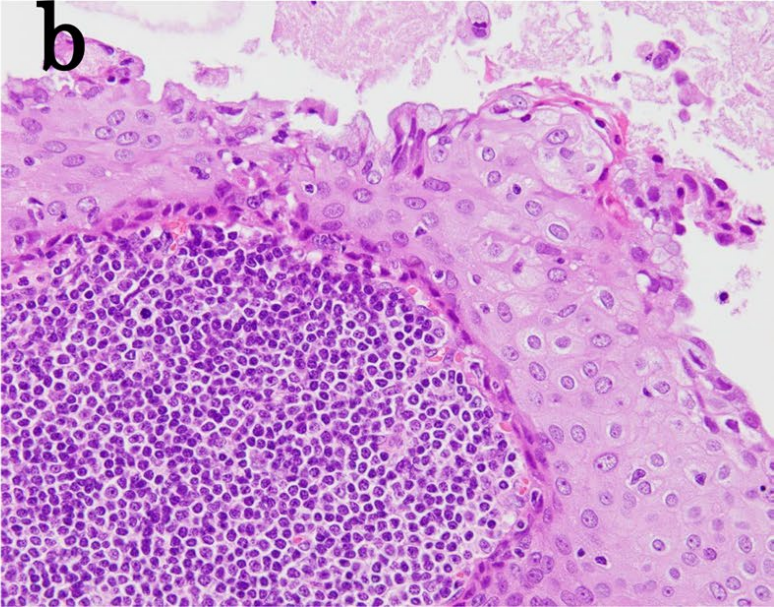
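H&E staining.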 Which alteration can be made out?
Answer: Keratinized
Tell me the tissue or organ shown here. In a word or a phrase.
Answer: Stratified squamous epithelium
